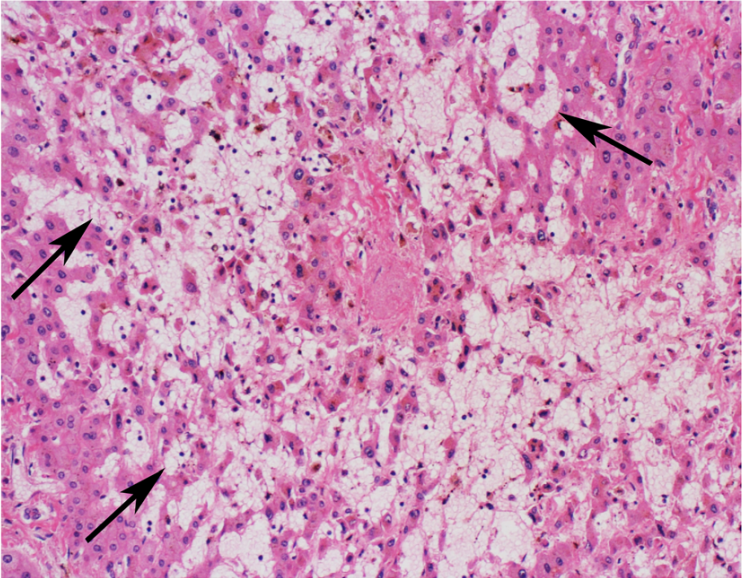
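Liver tissue with plates of hepatocytes separated by markedly widened sinusoidal spaces. The hepatocytes are polygonal, with abundant pink cytoplasm and round, centrally placed purple nuclei. Across much of the field the spaces between the cell plates are pale, wide and irregular, and they leave the hepatocyte plates thinned and broken up. Scattered cells and granules with brownish pigment lie within and beside these pale areas. Near the centre there is a denser pink, fibrillar area.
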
